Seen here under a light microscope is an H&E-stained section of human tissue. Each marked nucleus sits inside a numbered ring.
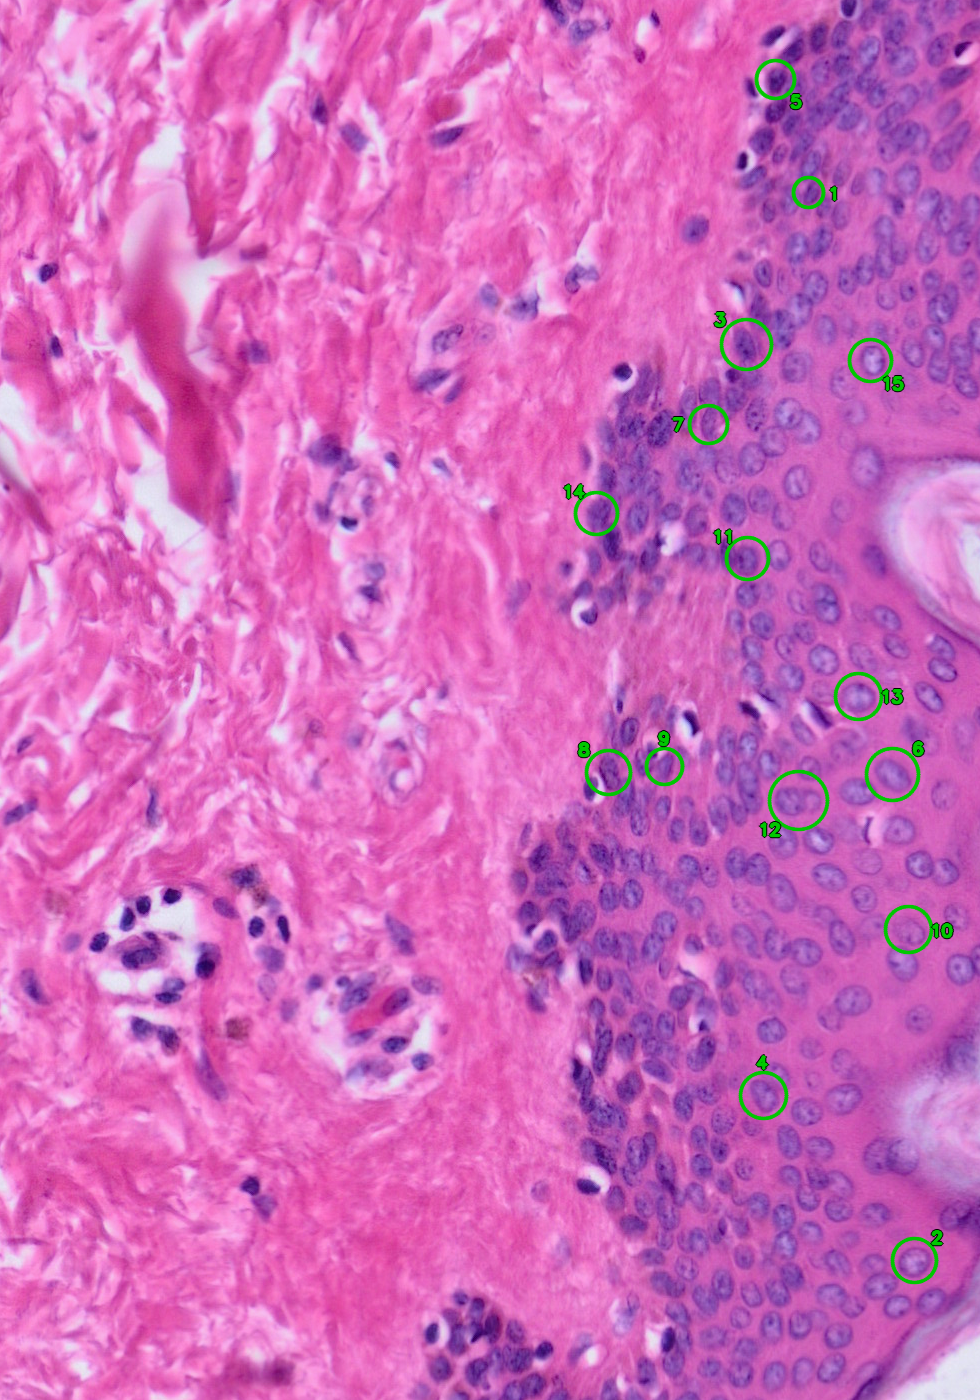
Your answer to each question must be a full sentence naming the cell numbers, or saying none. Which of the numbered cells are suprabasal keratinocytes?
So, the cells with numbers 2, 4, 6, 10, 12, 13 and 15 are suprabasal keratinocytes.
